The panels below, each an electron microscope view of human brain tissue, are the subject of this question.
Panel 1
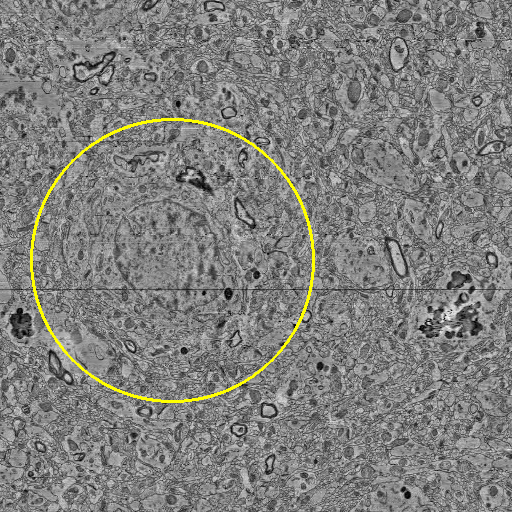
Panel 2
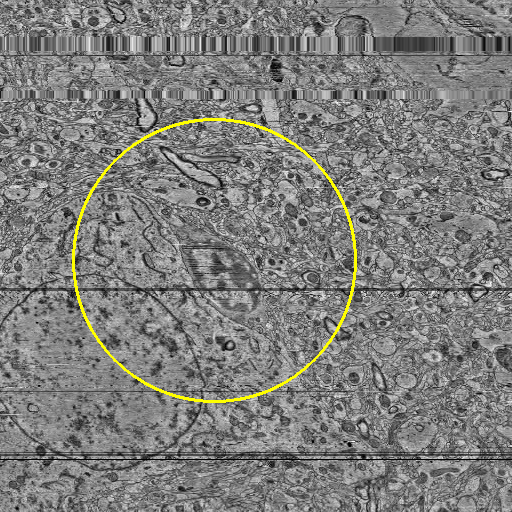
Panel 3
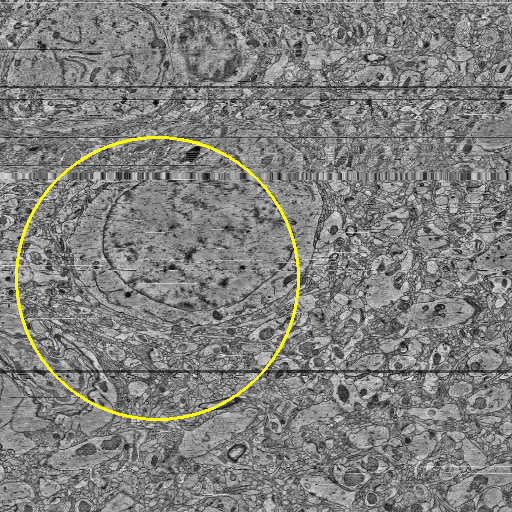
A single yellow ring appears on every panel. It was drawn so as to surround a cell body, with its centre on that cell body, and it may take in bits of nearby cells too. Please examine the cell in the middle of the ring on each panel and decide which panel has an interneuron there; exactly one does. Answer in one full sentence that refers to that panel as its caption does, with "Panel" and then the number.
Panel 1 is where the ring's central cell answers the question.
